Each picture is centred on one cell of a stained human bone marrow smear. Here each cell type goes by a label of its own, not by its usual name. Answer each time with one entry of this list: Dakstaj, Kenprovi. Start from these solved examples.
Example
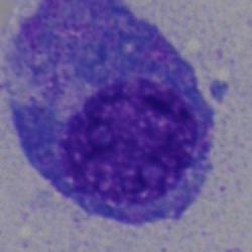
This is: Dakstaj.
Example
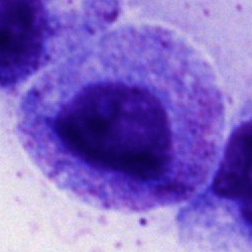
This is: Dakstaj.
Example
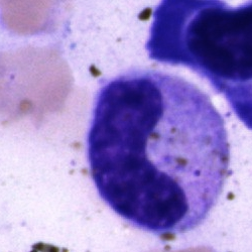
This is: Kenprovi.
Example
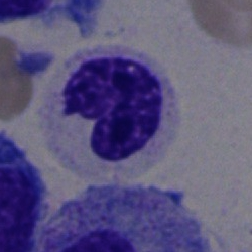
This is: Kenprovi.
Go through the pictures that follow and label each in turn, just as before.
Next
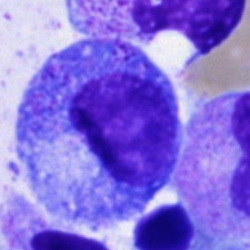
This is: Dakstaj.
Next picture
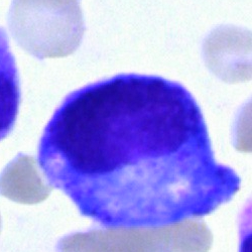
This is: Dakstaj.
